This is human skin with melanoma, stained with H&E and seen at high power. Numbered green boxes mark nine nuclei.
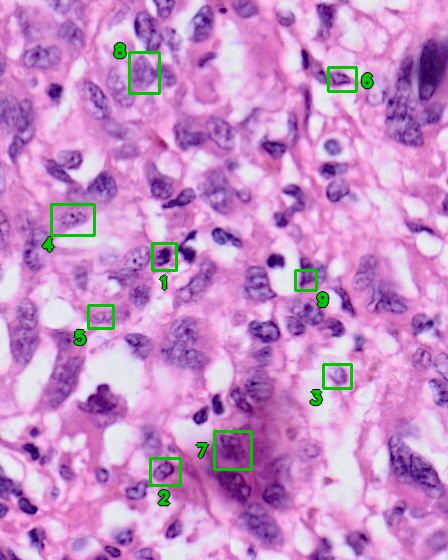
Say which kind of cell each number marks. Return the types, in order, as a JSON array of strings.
["lymphocyte", "macrophage or monocyte", "macrophage or monocyte", "melanoma cell", "melanoma cell", "macrophage or monocyte", "melanoma cell", "melanoma cell", "melanoma cell"]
